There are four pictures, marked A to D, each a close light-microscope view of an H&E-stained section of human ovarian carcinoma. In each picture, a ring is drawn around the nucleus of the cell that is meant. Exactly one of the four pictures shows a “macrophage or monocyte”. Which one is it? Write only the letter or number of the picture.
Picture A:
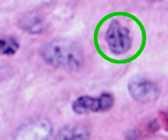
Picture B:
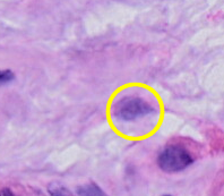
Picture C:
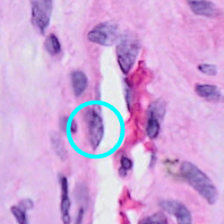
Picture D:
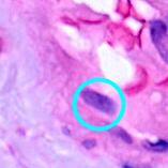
A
